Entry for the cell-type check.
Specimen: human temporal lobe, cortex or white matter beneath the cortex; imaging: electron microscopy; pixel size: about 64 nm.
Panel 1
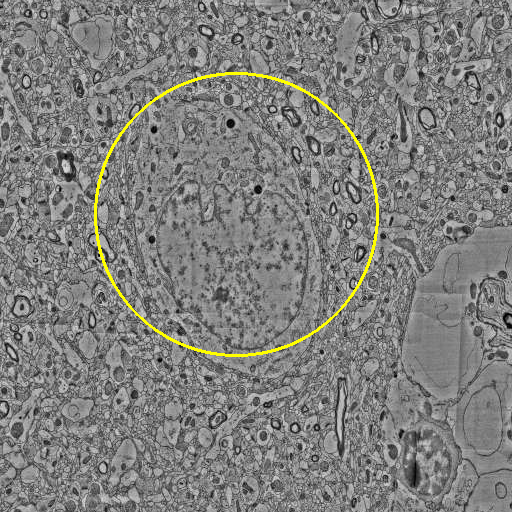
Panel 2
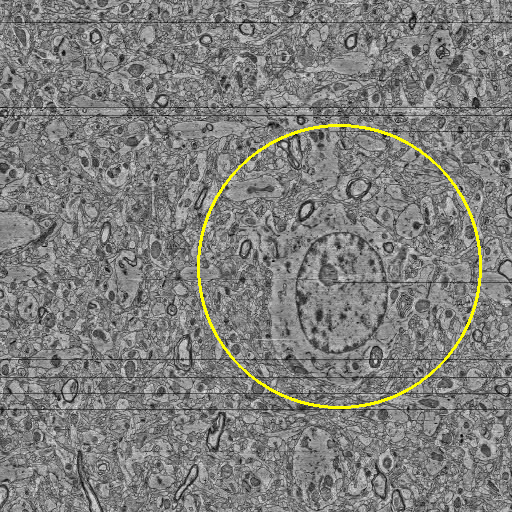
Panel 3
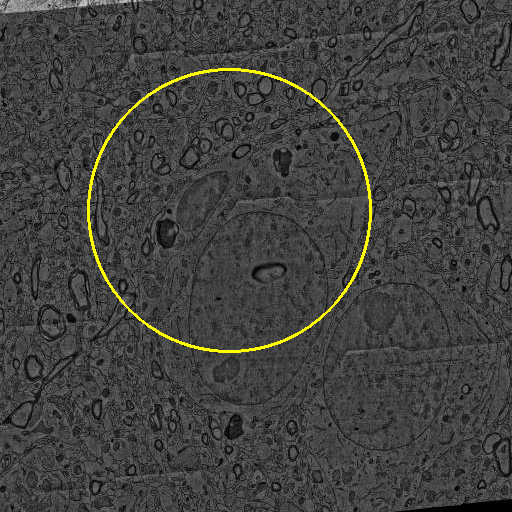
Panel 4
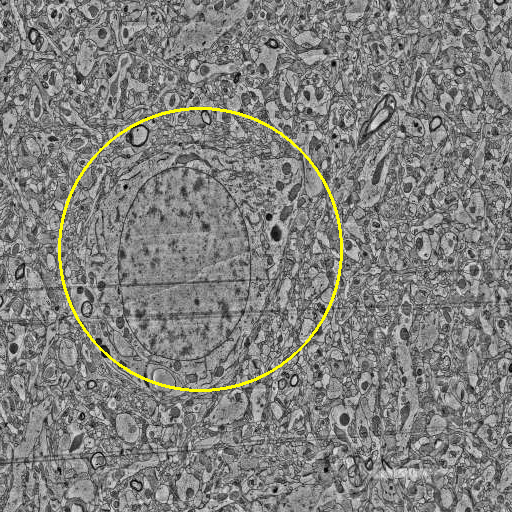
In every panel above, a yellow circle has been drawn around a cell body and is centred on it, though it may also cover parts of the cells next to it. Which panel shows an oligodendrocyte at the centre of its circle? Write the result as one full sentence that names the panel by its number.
Panel 3 shows it at the centre of its circle.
